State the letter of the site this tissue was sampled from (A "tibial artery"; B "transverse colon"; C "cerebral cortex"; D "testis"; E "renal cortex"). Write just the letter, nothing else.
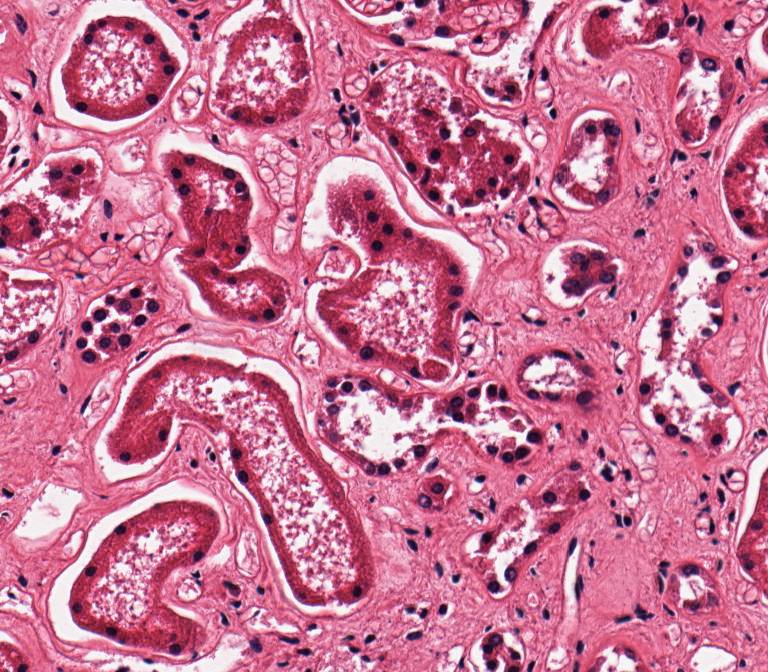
E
